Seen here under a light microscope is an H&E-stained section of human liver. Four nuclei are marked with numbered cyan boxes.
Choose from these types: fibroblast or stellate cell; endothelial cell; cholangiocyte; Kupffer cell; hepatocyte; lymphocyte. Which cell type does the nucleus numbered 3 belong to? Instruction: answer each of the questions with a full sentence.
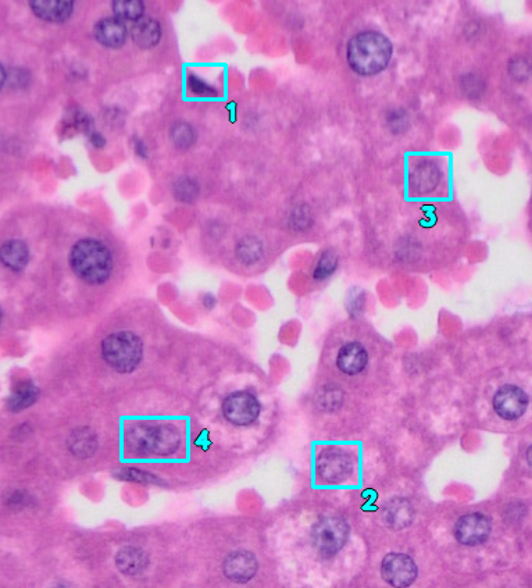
Belonging to a hepatocyte is the nucleus that carries the number 3.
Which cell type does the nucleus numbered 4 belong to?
The cell assigned the number 4 is a hepatocyte.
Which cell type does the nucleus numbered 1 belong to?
The cell indicated with the number 1 is classed as a fibroblast or stellate cell.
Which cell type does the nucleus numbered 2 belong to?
Cell 2, among those numbered, is a hepatocyte.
